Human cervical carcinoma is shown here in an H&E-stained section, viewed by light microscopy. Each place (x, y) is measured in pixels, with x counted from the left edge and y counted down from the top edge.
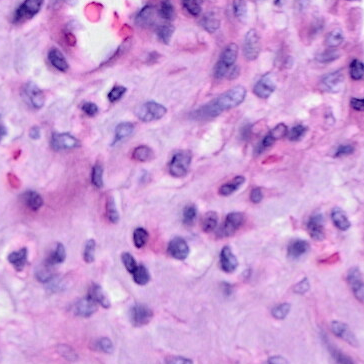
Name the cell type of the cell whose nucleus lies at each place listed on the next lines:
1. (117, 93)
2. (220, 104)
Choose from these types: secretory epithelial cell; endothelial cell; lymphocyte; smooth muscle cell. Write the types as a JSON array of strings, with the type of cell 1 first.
["lymphocyte", "endothelial cell"]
